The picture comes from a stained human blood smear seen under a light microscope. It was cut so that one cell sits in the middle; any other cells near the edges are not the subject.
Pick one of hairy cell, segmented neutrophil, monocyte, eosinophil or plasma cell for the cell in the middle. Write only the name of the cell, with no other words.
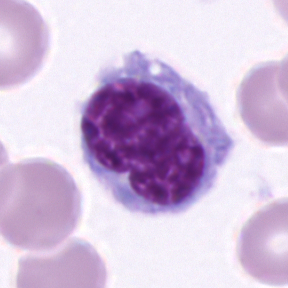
plasma cell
